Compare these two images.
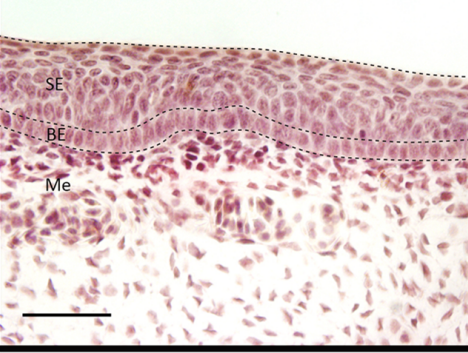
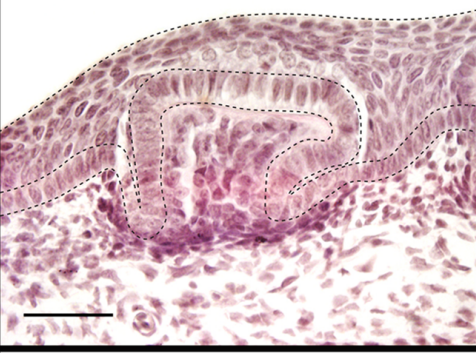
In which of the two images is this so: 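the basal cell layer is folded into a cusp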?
The second image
